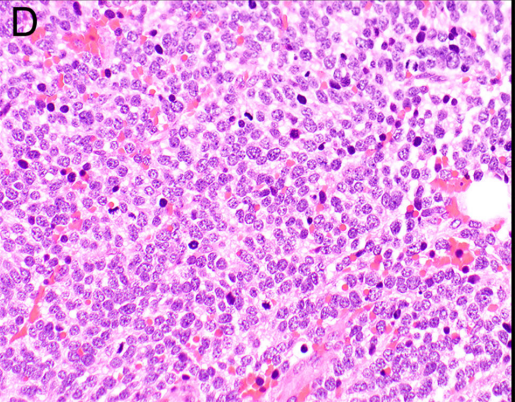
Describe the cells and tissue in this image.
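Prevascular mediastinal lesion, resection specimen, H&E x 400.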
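This high-power view shows a sheet of neoplastic cells packed closely together without obvious glands or lobules. The cells are round, with round to oval nuclei of finely granular chromatin that occupy most of each cell, leaving only a narrow rim of pale cytoplasm.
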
